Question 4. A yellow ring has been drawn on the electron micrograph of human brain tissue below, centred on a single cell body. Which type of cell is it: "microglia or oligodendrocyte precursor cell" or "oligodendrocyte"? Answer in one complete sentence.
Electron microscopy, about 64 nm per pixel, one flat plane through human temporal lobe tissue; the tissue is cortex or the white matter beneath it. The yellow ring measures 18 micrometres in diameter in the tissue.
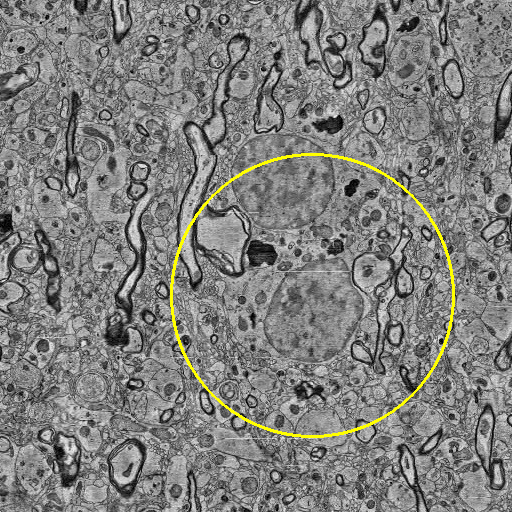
This cell body belongs to an oligodendrocyte.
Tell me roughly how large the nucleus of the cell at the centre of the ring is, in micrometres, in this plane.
About 7 micrometres by about 6 micrometres in this plane.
